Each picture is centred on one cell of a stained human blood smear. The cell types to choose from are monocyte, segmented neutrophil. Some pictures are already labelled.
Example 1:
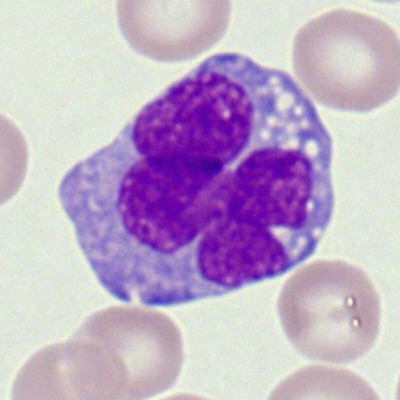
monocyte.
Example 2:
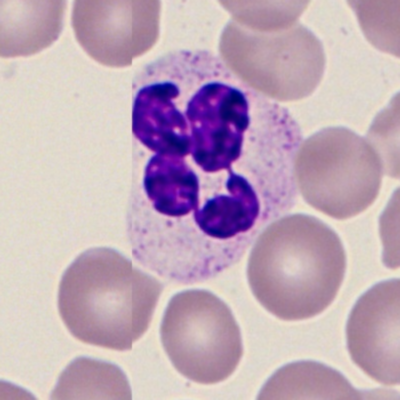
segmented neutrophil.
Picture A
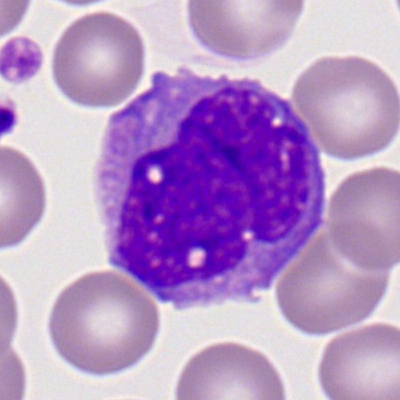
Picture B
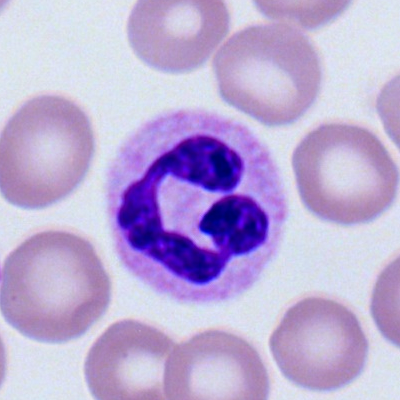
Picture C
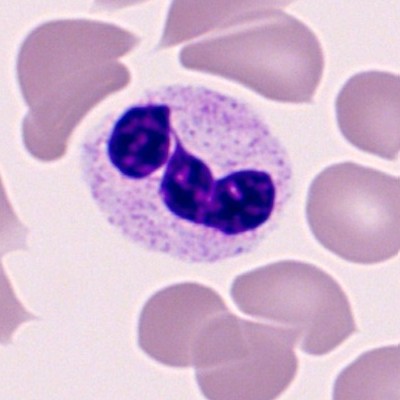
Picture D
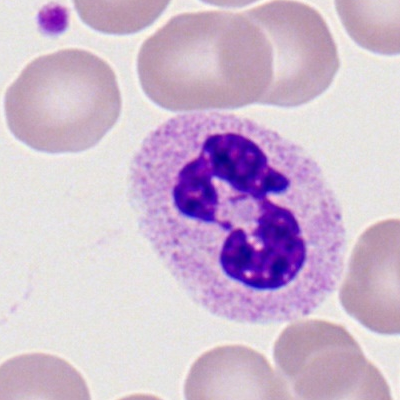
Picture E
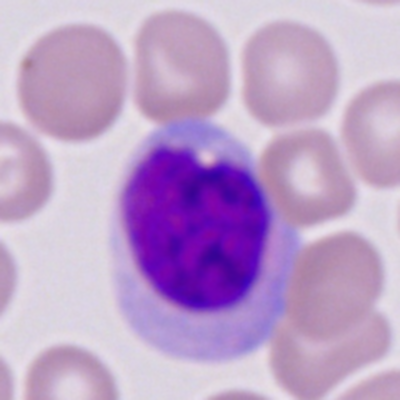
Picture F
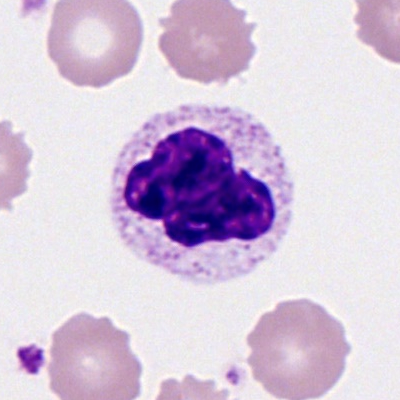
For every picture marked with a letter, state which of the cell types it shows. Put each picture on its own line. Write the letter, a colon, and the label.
A: monocyte.
B: segmented neutrophil.
C: segmented neutrophil.
D: segmented neutrophil.
E: monocyte.
F: segmented neutrophil.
